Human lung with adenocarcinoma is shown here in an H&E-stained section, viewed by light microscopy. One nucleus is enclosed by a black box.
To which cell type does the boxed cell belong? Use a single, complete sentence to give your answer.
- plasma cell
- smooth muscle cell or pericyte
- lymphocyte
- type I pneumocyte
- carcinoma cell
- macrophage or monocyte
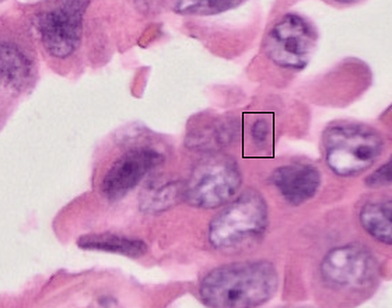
With respect to cell type, the boxed cell is a carcinoma cell.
